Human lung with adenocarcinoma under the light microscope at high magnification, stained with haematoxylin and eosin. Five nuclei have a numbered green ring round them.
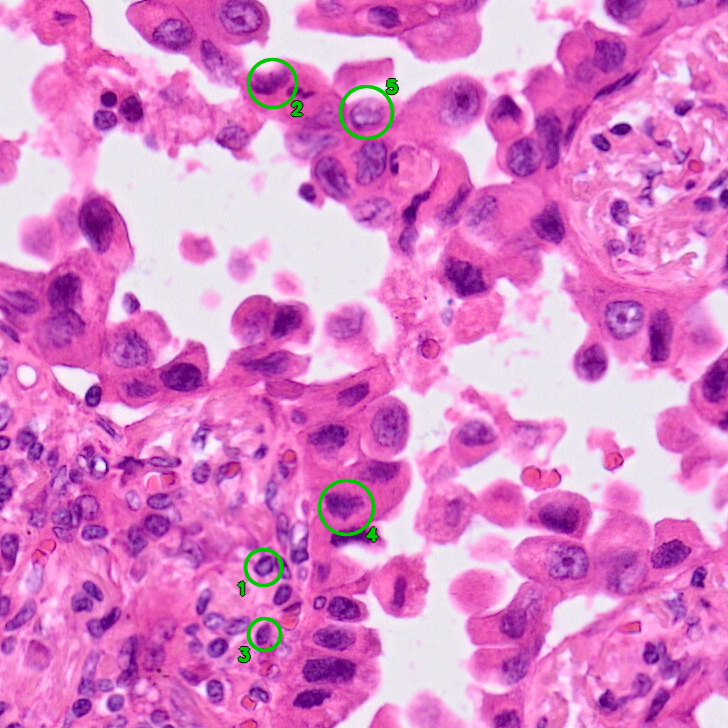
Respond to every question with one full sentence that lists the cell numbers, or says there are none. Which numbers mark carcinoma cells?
When it comes to cells 2, 4 and 5, they are carcinoma cells.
